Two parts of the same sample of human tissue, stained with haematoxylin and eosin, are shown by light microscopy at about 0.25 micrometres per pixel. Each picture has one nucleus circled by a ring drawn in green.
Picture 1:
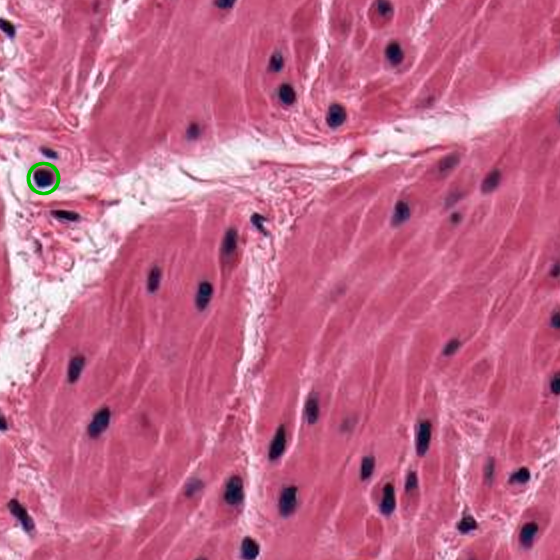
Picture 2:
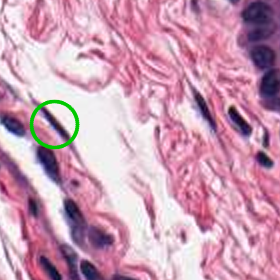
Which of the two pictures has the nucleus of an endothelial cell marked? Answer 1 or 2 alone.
2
